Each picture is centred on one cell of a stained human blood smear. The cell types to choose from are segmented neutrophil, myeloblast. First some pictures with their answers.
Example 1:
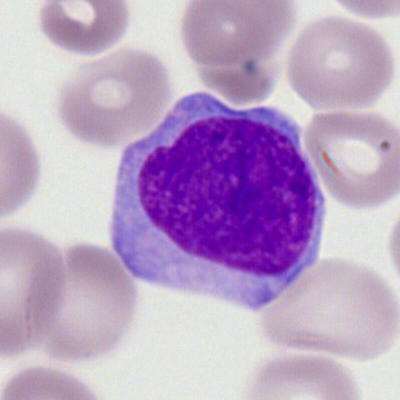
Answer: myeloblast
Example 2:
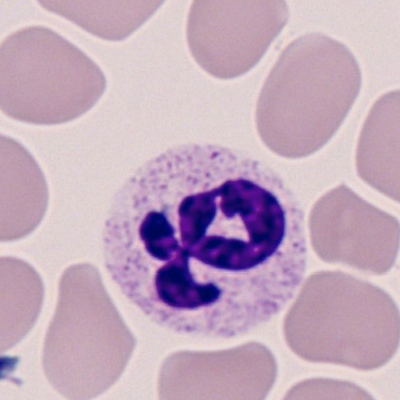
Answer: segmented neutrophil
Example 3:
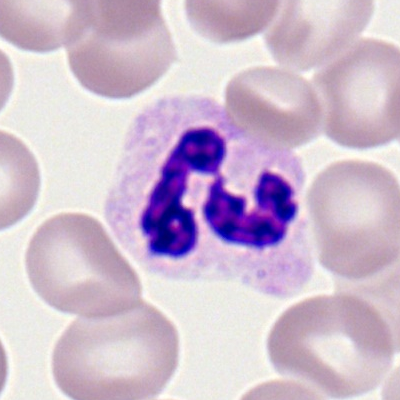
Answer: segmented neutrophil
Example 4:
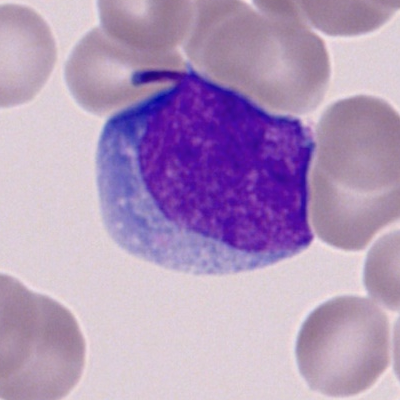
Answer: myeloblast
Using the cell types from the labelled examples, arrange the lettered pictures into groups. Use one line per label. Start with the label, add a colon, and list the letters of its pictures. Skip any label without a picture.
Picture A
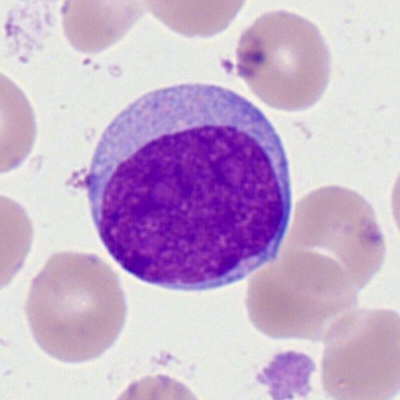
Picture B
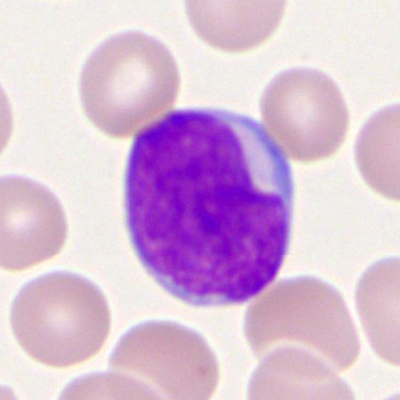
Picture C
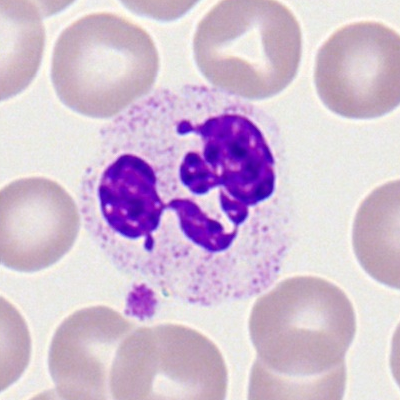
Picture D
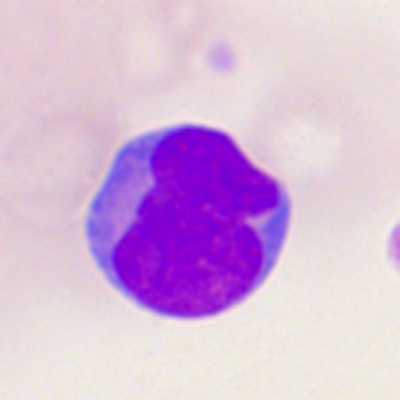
segmented neutrophil: C
myeloblast: A, B, D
